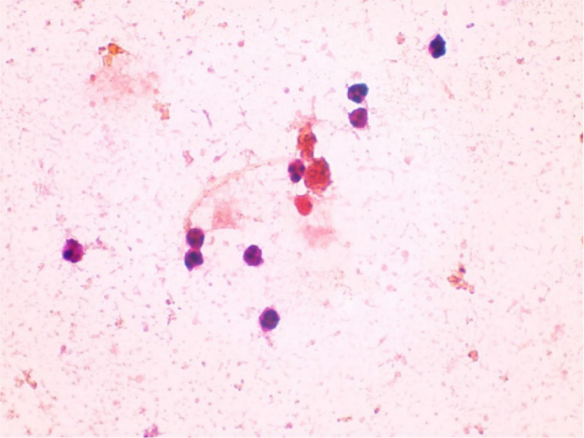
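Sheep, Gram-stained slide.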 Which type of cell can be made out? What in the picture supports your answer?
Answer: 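Several small round cells scattered over the field. Their dark purple nuclei fill most of each cell. Some nuclei look lobed or paired.
Answer: Inflammatory cells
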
